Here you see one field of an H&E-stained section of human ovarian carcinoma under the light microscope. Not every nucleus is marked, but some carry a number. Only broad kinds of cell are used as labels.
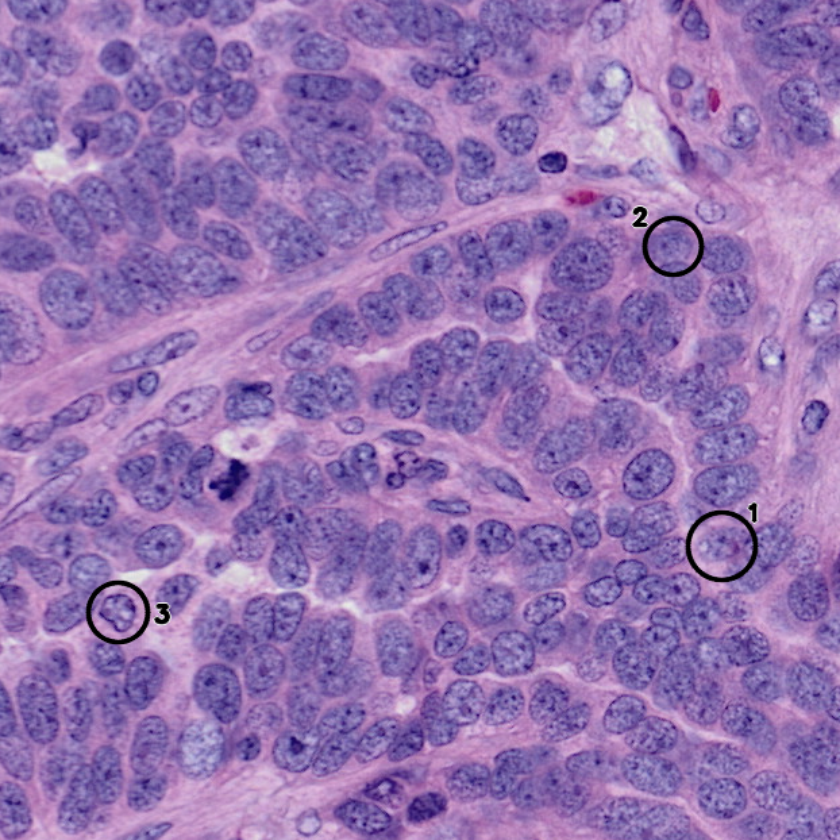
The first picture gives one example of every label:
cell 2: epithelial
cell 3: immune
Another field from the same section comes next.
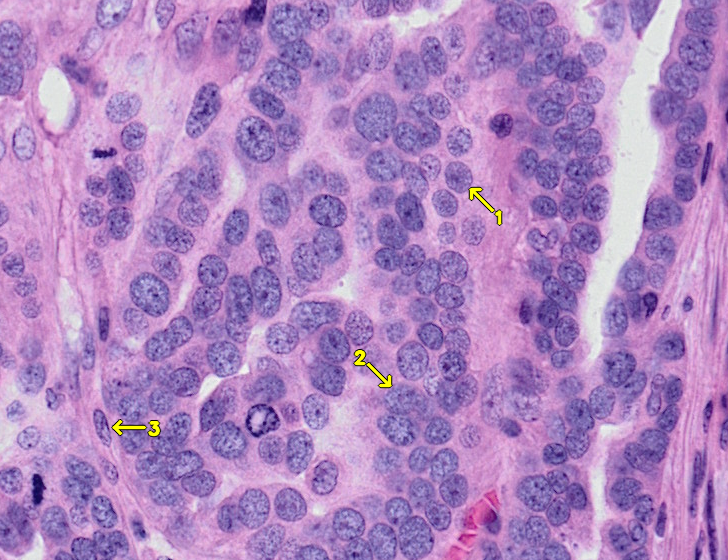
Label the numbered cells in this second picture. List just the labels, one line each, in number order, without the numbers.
epithelial
epithelial
immune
